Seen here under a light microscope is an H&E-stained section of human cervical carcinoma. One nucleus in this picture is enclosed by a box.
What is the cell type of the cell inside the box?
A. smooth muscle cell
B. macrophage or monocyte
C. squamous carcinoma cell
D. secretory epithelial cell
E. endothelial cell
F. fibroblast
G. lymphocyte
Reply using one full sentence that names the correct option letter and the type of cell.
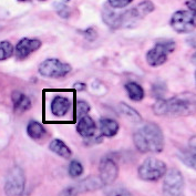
Option G names it right: the cell inside the box is a lymphocyte.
